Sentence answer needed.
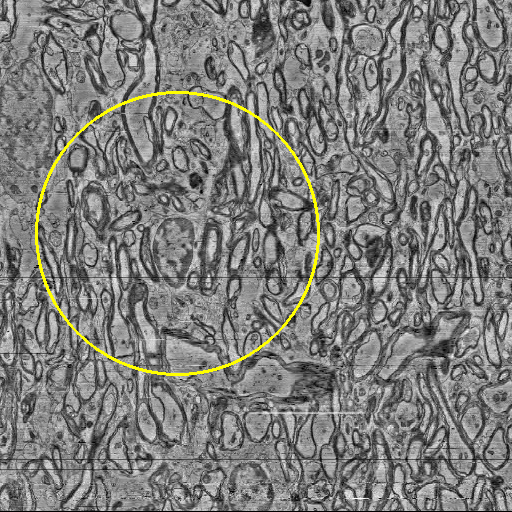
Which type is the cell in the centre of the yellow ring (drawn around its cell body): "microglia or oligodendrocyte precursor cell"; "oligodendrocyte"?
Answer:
In the centre of the yellow ring is a microglial cell or oligodendrocyte precursor cell.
